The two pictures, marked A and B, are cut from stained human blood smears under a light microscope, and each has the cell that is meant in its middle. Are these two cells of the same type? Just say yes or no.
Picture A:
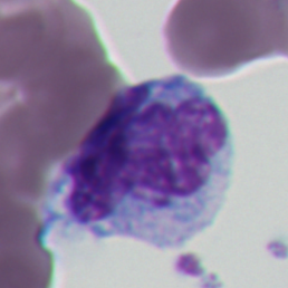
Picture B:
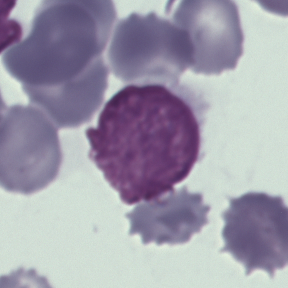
no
